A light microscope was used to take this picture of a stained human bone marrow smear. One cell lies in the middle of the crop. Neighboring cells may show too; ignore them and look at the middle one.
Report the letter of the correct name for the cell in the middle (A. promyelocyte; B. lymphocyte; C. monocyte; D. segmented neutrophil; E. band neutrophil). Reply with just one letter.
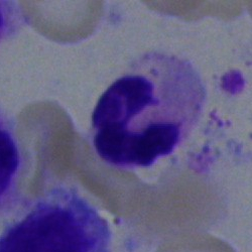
D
